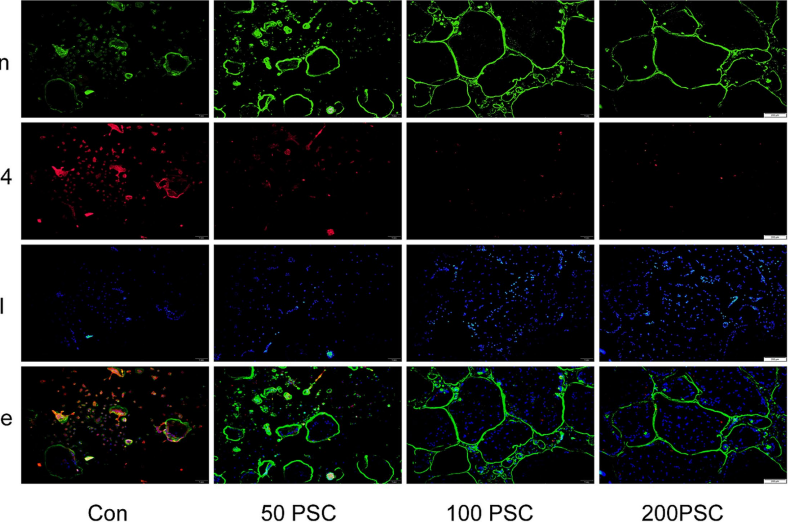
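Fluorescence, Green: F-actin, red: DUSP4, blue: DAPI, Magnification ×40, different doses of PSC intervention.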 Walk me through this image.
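This grid of fluorescence images shows cultured osteoclasts: very large cells, each holding many nuclei. The cells are bounded by bright green rings that run along their margins, and in some images the rings of neighbouring giant cells meet and form a network of polygonal outlines. Blue nuclei lie in clusters within the areas the green rings enclose, consistent with these being multinucleated cells. In the first column, smaller and irregular cells also show strong red cytoplasmic staining. In the other columns the red is faint and scattered. The bottom row overlays the three colours, showing the nuclei inside the green-ringed cells.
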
